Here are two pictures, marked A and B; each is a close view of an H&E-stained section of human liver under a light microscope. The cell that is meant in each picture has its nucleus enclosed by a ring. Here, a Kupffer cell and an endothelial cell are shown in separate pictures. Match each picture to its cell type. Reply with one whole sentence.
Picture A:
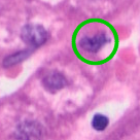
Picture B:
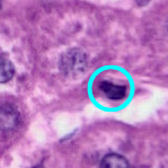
Picture A is of an endothelial cell, and picture B is of a Kupffer cell.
